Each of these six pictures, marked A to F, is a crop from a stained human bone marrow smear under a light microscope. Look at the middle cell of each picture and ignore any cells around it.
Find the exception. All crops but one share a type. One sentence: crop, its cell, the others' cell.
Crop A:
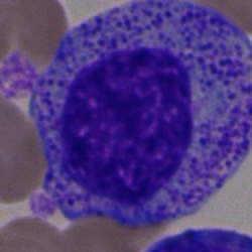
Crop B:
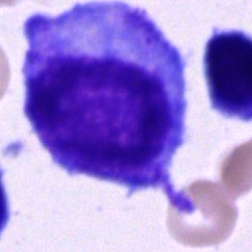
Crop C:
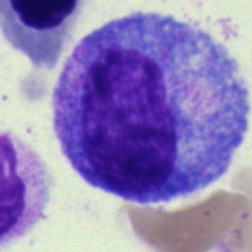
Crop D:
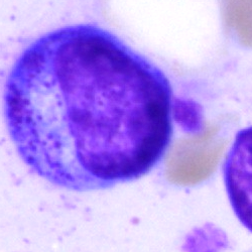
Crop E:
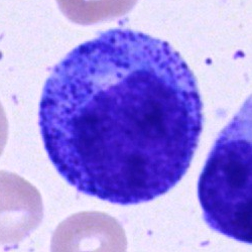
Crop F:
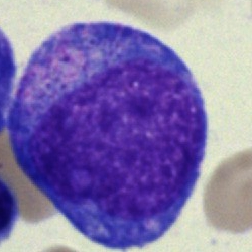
The exception is crop F: it is a blast, and the others are all promyelocytes.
